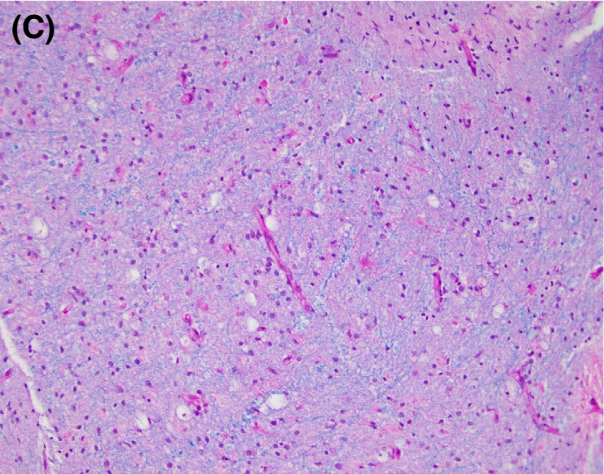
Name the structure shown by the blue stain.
Myelin.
